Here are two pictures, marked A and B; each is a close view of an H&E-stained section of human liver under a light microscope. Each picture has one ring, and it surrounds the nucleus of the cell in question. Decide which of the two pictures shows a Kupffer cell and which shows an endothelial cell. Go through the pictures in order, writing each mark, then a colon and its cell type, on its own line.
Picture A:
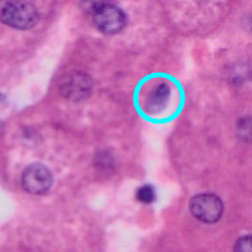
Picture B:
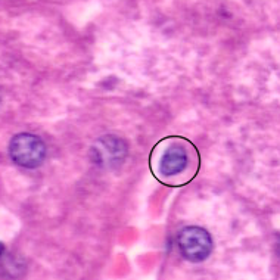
A: endothelial cell
B: Kupffer cell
